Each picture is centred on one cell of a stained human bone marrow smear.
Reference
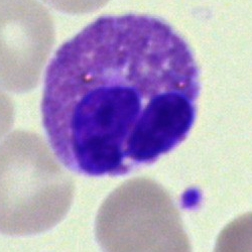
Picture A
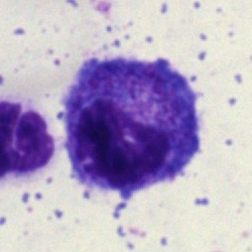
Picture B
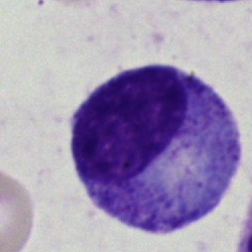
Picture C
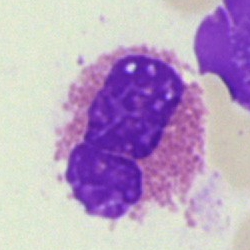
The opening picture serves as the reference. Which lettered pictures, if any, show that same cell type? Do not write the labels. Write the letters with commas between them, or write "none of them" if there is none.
C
